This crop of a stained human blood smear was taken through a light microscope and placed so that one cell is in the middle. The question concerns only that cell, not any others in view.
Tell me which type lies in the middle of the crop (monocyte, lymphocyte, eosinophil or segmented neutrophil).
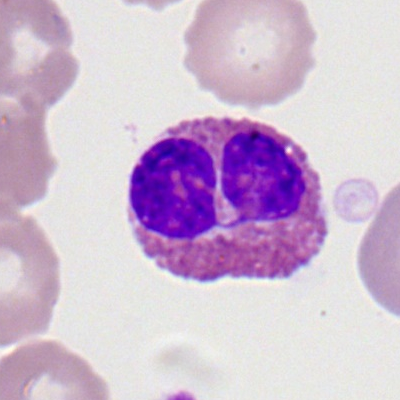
eosinophil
